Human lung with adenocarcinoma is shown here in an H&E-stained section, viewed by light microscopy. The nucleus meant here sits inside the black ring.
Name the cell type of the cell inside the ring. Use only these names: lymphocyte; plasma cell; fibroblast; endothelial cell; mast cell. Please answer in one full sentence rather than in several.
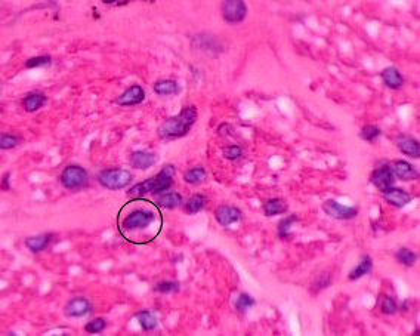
Cell type answer for this item: the cell inside the ring is a mast cell.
